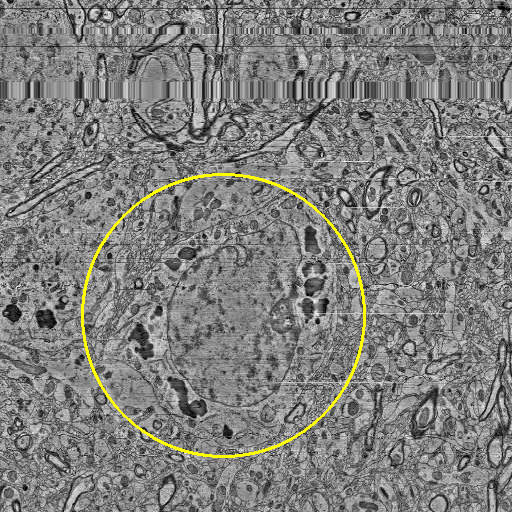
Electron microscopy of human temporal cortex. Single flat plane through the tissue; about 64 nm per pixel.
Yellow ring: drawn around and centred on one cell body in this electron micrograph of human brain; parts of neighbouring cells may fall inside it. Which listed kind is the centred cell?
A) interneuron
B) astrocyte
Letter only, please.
A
